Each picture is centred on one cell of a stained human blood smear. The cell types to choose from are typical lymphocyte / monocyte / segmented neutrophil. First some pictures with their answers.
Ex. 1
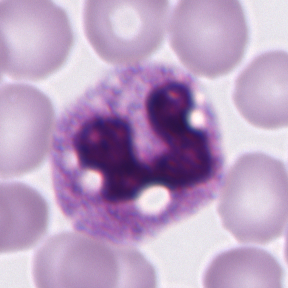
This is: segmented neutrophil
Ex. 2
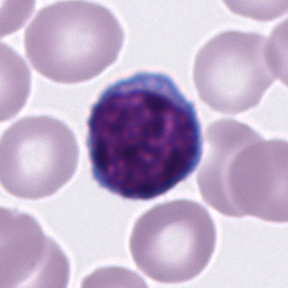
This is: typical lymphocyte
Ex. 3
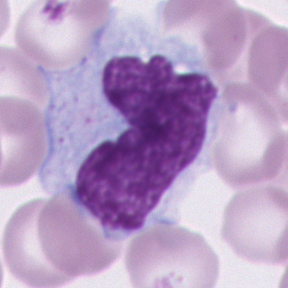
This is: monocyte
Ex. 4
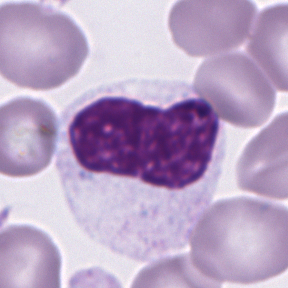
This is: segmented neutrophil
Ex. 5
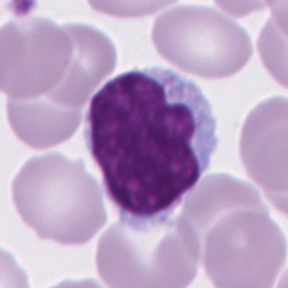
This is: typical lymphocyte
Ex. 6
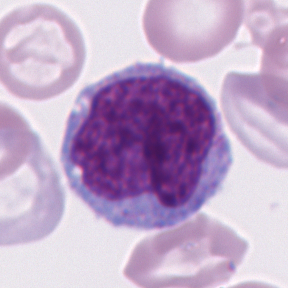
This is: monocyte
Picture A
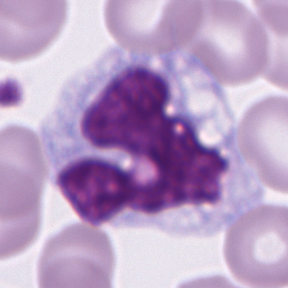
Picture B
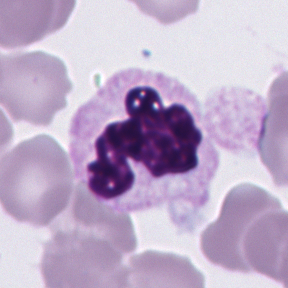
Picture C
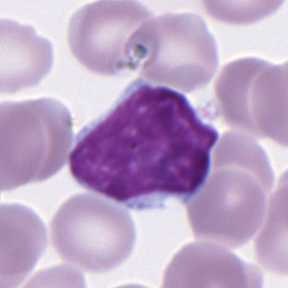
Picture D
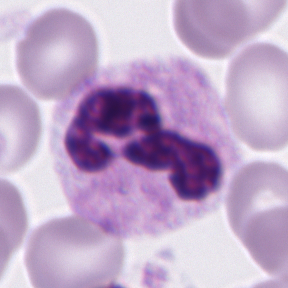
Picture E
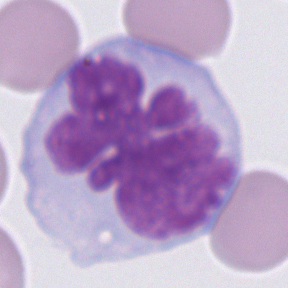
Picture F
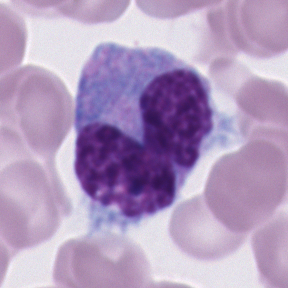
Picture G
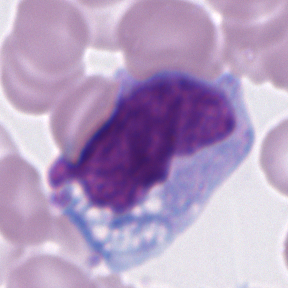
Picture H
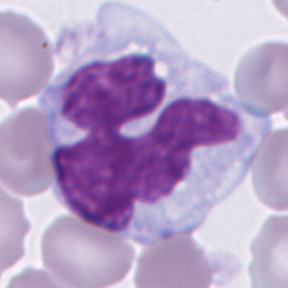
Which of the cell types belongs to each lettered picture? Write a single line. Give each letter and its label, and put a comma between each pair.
A monocyte, B segmented neutrophil, C typical lymphocyte, D segmented neutrophil, E monocyte, F monocyte, G monocyte, H monocyte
